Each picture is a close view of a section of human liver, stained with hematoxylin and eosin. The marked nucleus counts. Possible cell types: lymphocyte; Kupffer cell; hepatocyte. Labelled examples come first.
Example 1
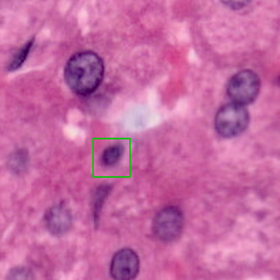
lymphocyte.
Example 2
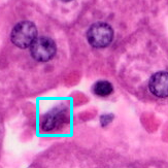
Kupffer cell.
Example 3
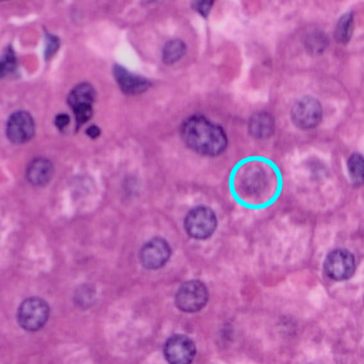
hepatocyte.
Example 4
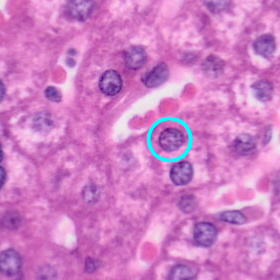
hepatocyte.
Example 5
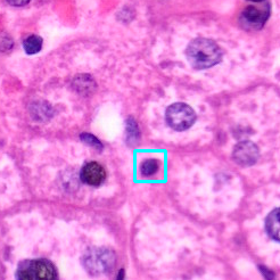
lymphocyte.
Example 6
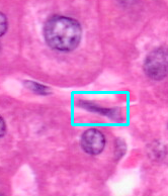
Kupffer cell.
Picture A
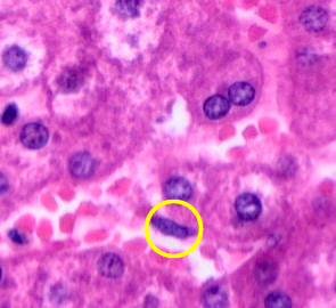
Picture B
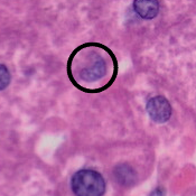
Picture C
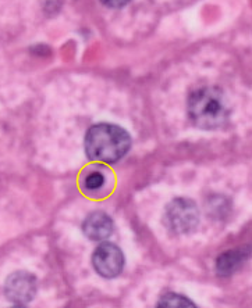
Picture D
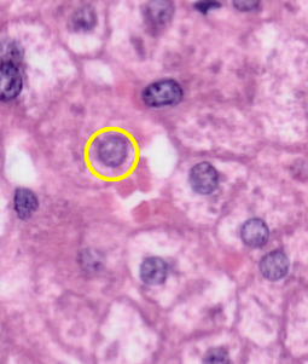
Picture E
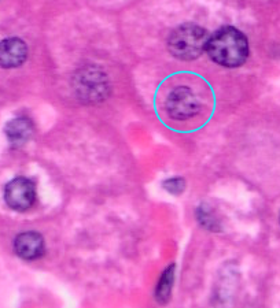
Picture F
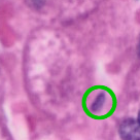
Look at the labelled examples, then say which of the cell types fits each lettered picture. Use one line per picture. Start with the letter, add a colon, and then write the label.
A: Kupffer cell.
B: Kupffer cell.
C: lymphocyte.
D: hepatocyte.
E: hepatocyte.
F: lymphocyte.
